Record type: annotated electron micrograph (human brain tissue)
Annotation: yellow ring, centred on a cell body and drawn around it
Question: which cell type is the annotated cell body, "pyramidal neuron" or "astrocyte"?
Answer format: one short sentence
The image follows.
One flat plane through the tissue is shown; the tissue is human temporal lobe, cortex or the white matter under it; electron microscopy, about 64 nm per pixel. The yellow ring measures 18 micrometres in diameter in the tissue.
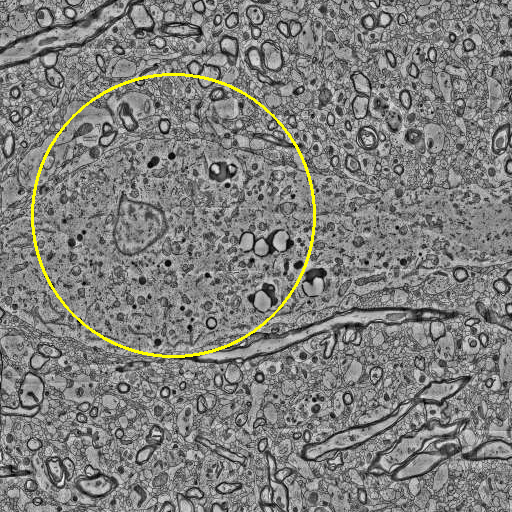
The annotated cell body is that of a pyramidal neuron.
